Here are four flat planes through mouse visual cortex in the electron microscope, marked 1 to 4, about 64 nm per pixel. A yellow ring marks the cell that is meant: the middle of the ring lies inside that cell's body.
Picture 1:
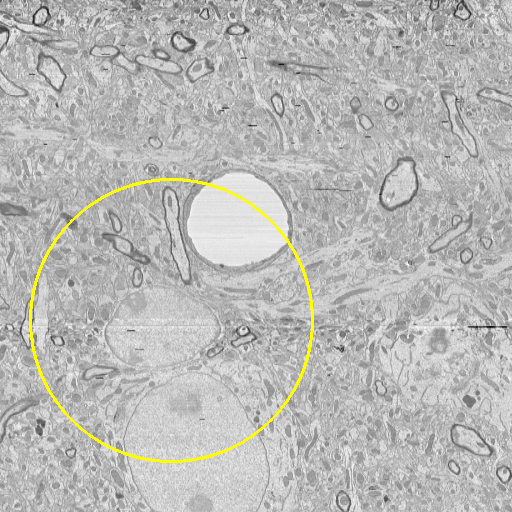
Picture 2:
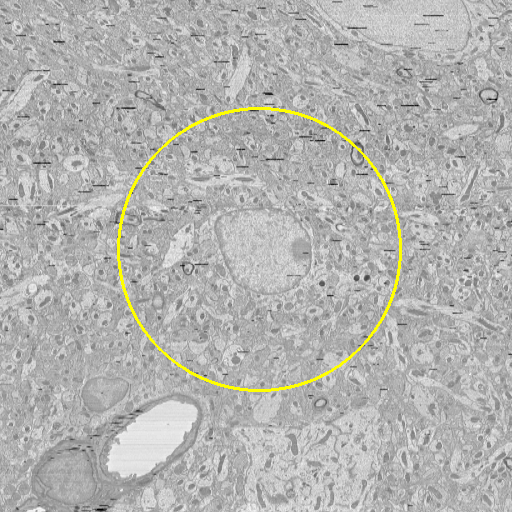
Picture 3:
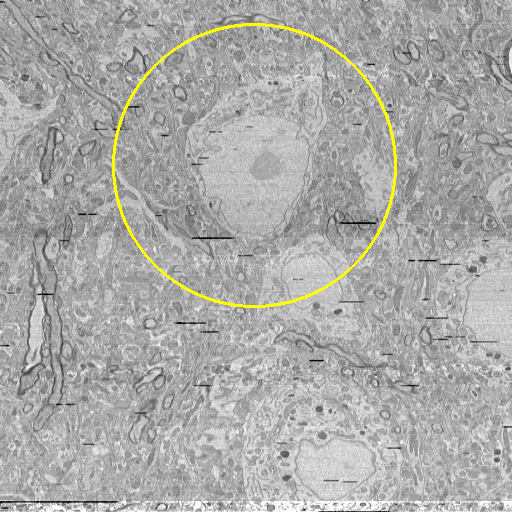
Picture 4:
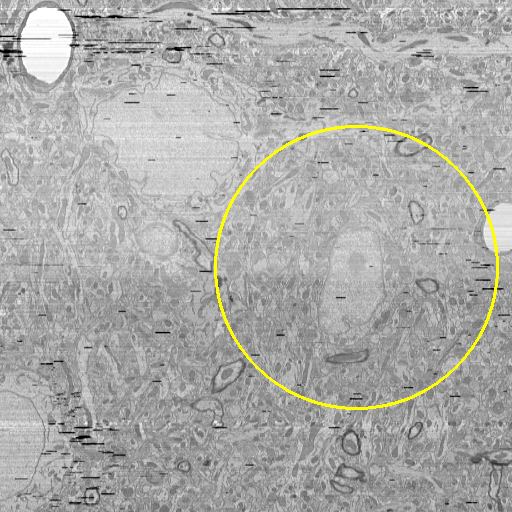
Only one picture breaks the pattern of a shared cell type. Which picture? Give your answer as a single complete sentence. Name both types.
The different one is picture 3; it shows an inhibitory neuron, whereas all the others show astrocytes.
